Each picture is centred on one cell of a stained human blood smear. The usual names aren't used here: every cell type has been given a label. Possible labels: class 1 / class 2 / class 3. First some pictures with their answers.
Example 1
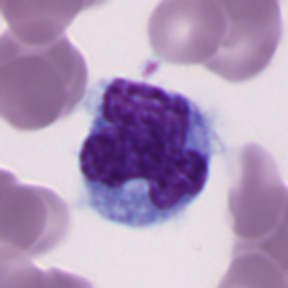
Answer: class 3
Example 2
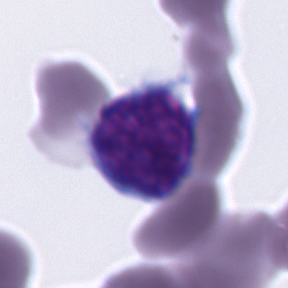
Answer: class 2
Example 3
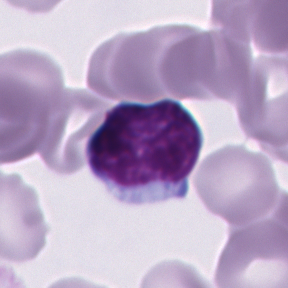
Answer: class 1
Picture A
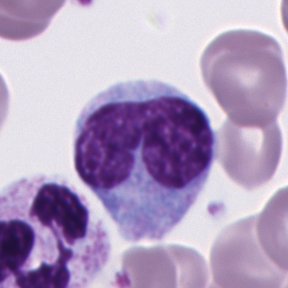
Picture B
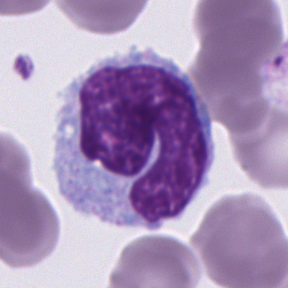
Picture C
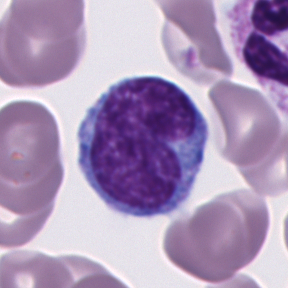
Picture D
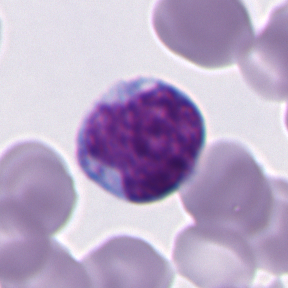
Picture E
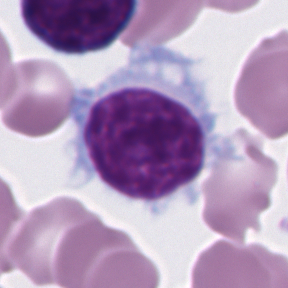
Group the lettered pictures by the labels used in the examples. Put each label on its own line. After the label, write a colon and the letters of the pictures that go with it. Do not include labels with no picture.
class 1: D
class 2: E
class 3: A, B, C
